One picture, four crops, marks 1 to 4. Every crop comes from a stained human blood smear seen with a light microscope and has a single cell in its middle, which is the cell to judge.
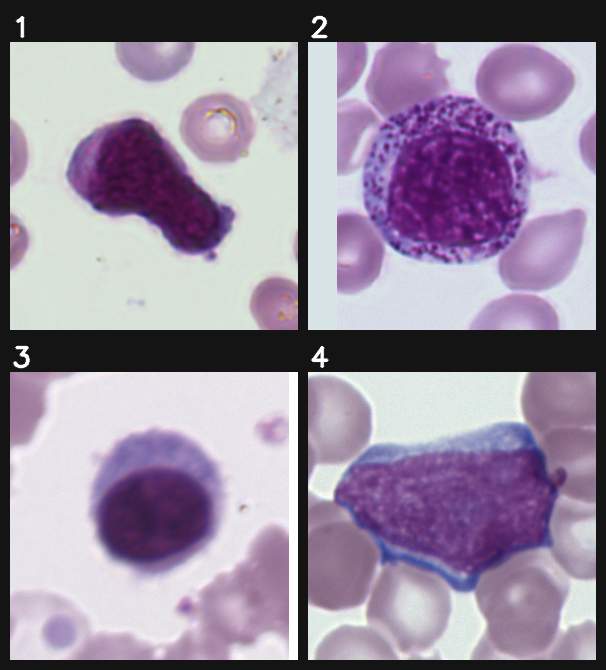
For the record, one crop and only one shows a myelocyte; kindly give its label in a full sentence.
Crop 2 is the crop whose central cell is a myelocyte.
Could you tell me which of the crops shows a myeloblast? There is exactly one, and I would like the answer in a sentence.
Of the labeled crops, the one with a myeloblast is crop 4.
